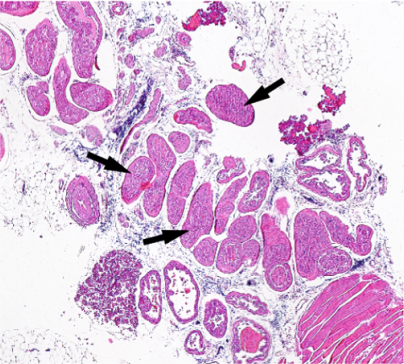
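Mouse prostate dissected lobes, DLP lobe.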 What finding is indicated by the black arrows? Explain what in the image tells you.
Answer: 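The glands marked by the arrows are packed with cellular material rather than open lumen. Many glands appear solid and purple-pink with little clear space inside. The answer: increased amount of cells is present in the lumen.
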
